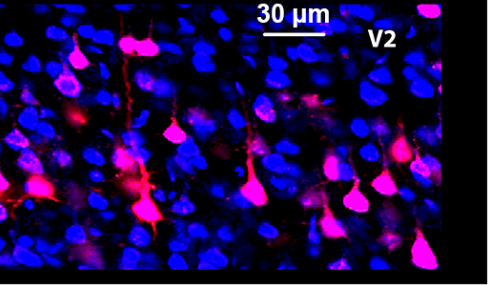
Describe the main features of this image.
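The labeled cell bodies are triangular, with a thick process rising from the apex of each, and these processes run parallel in one direction, the typical shape of pyramidal neurons. The labeled cells are scattered rather than packed, and many neighbouring nuclei carry no label at all.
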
